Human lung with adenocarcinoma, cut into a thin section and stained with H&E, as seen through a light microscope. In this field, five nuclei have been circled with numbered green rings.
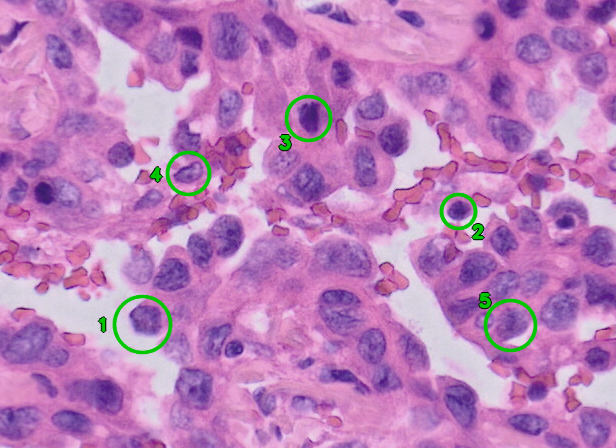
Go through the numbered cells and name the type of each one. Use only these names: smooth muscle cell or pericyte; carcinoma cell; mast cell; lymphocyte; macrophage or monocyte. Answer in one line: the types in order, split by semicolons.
carcinoma cell; lymphocyte; carcinoma cell; macrophage or monocyte; carcinoma cell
